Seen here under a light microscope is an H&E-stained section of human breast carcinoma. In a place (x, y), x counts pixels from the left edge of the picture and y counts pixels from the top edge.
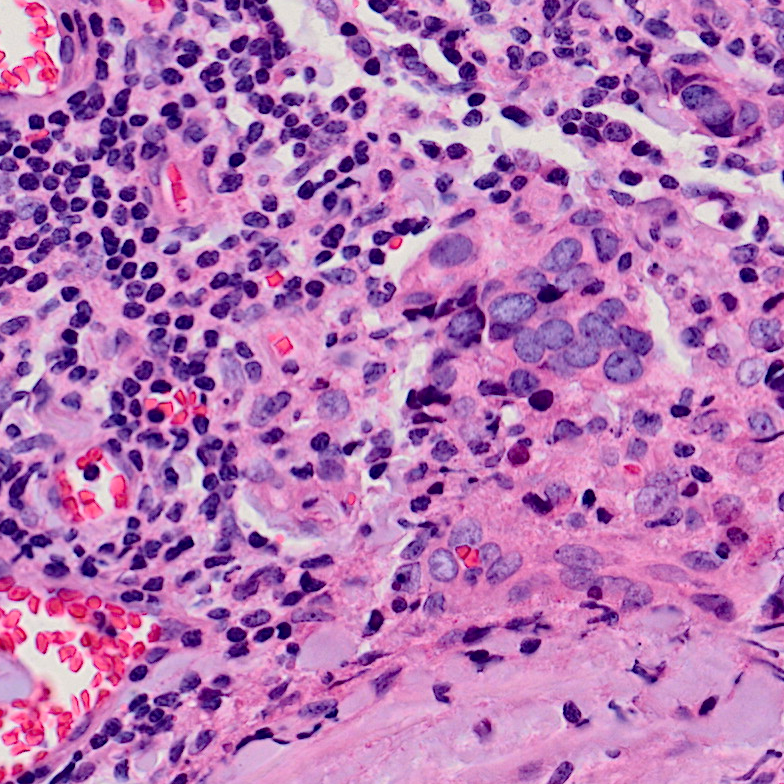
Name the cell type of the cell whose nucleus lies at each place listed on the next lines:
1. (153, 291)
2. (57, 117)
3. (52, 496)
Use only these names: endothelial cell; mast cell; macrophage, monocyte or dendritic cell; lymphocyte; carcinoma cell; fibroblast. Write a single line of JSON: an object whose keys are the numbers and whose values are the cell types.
{"1": "lymphocyte", "2": "lymphocyte", "3": "endothelial cell"}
